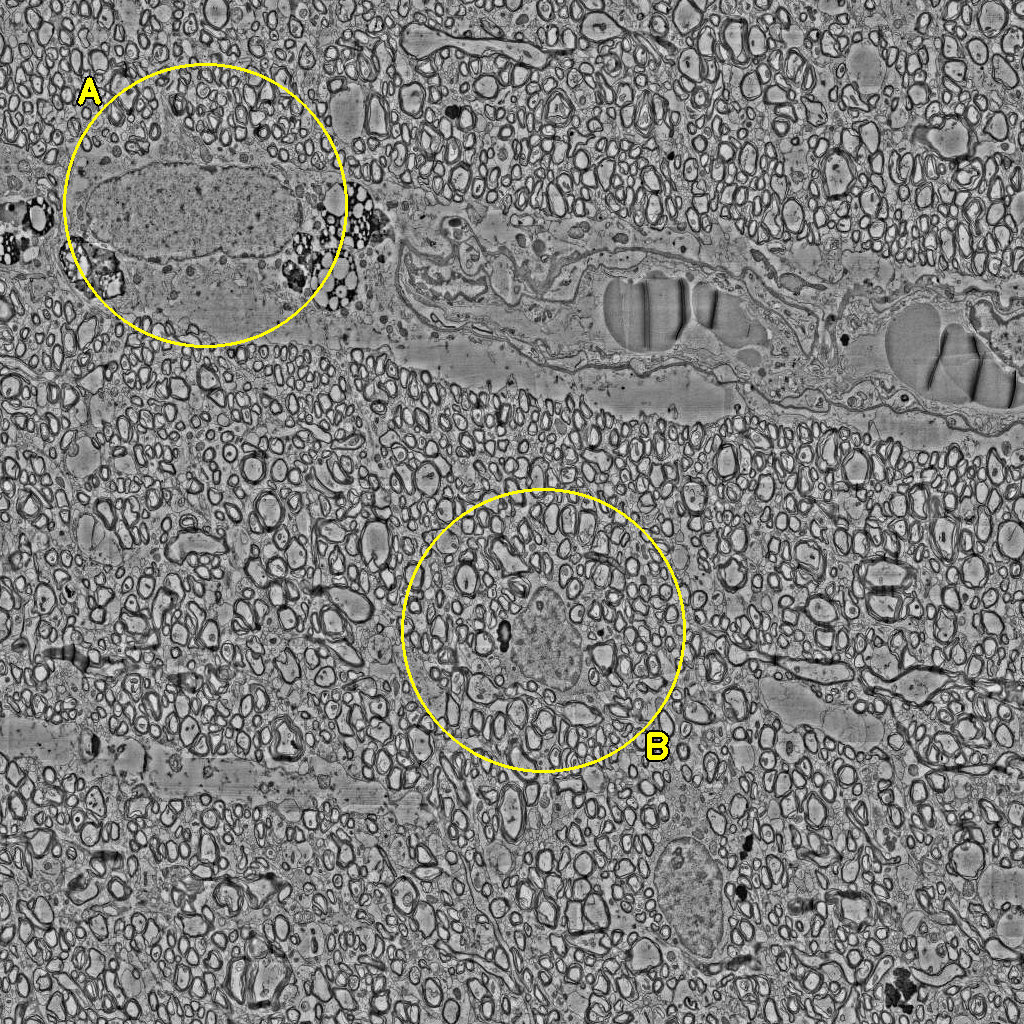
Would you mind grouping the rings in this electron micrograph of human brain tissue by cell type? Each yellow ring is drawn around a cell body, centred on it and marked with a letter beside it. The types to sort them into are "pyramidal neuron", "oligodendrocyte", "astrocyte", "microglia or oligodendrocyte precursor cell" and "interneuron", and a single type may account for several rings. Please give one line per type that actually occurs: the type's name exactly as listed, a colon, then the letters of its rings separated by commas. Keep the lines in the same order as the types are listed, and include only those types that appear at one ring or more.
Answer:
oligodendrocyte: B
astrocyte: A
